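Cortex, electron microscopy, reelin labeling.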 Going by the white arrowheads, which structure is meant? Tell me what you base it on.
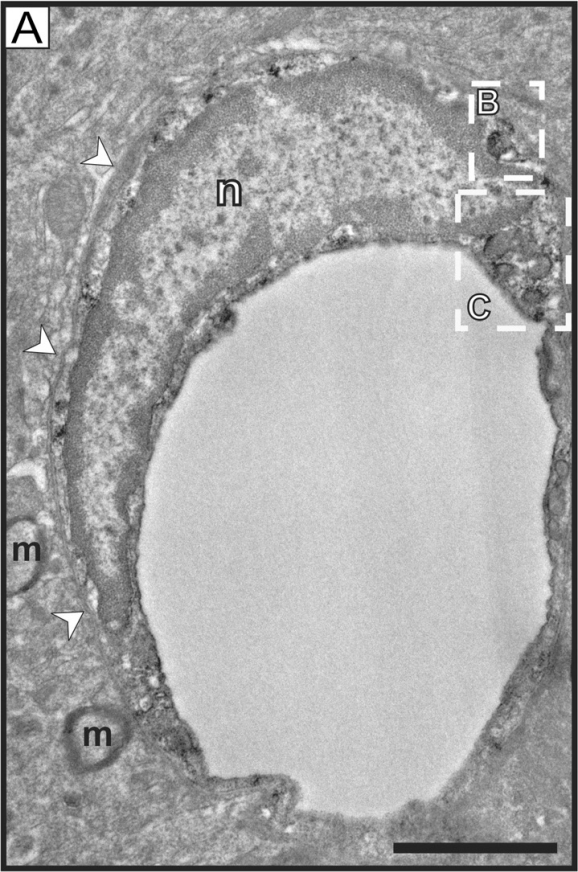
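Basement membrane. The arrowheads point to a thin line along the outer side of the cell, facing away from the lumen.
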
